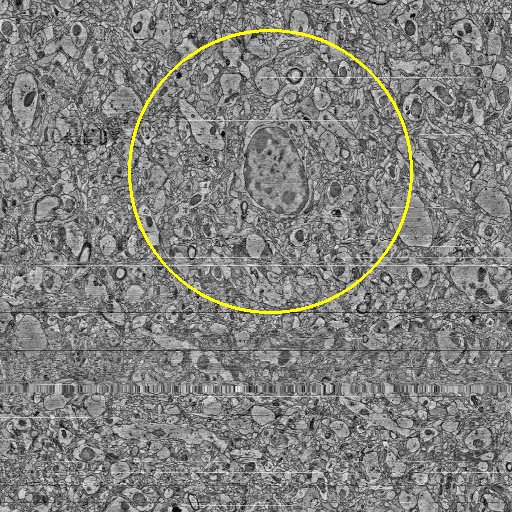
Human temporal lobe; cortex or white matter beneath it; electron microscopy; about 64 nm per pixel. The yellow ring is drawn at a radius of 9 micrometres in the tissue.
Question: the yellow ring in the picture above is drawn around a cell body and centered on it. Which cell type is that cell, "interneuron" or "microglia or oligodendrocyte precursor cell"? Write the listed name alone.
microglia or oligodendrocyte precursor cell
